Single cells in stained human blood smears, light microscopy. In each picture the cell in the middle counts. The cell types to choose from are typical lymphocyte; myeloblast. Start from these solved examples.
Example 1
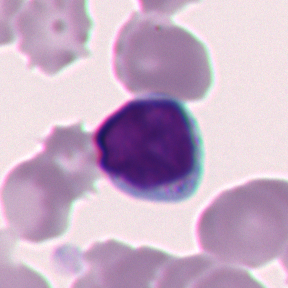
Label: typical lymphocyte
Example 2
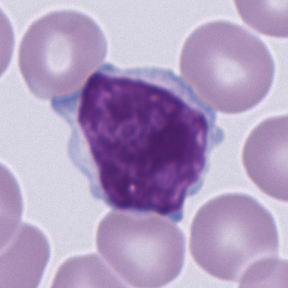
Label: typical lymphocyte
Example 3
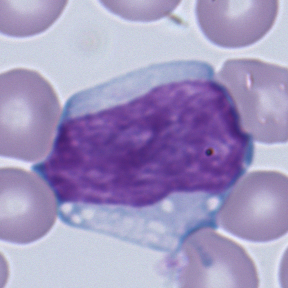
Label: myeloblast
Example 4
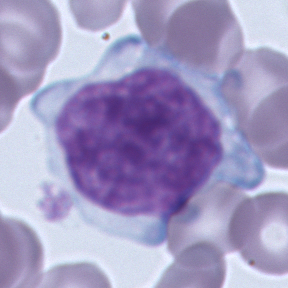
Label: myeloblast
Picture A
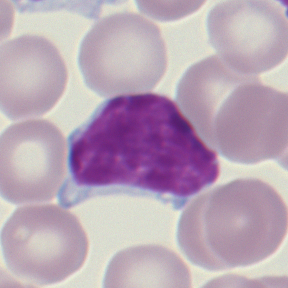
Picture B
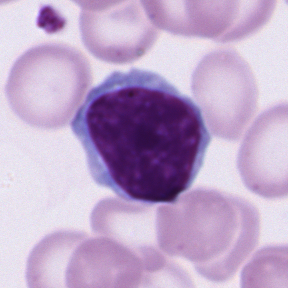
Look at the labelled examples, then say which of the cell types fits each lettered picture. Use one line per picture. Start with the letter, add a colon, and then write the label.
A: typical lymphocyte
B: typical lymphocyte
